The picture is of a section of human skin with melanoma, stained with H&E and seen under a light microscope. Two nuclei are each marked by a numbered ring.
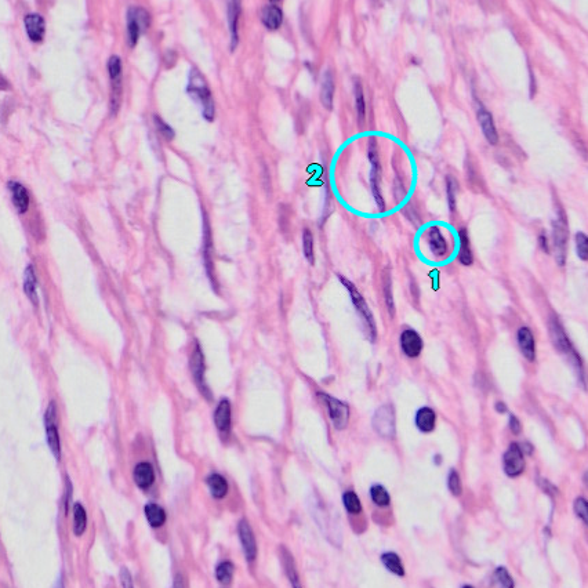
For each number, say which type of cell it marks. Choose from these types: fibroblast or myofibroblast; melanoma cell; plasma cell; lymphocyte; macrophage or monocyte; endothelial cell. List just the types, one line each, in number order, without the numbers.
plasma cell
fibroblast or myofibroblast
